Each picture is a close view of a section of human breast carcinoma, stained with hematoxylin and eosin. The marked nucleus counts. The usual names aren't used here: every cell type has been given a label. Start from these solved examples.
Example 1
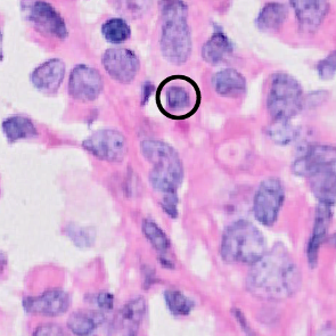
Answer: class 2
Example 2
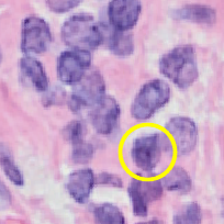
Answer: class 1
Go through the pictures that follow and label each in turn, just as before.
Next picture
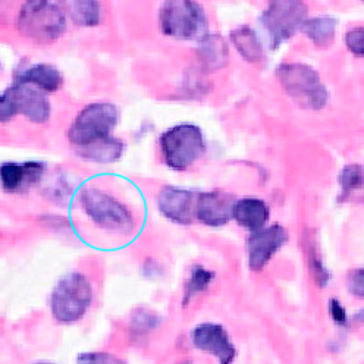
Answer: class 2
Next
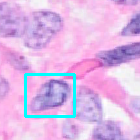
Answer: class 2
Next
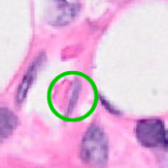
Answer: class 2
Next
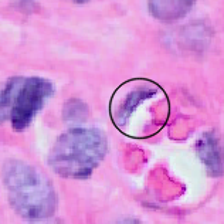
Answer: class 2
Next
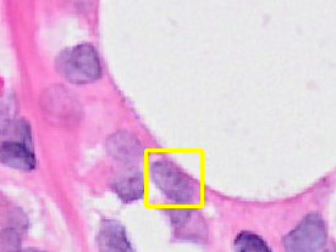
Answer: class 1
